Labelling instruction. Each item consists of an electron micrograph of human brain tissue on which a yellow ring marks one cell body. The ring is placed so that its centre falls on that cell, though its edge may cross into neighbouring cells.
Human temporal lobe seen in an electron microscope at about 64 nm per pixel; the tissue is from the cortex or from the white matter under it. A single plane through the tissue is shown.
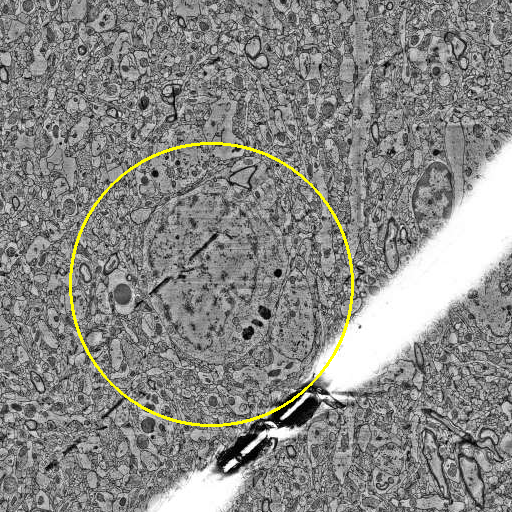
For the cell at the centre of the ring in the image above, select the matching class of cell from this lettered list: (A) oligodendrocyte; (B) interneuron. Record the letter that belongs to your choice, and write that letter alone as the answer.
B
